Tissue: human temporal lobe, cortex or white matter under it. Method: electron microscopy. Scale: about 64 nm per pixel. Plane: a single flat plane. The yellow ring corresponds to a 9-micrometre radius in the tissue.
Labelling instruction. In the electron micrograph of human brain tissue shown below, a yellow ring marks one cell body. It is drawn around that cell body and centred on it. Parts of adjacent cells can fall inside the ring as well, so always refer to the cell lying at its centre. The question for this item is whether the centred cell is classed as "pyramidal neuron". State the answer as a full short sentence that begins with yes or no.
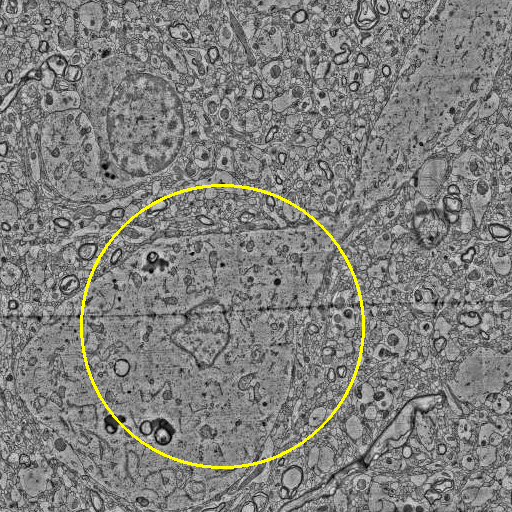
Yes, the centred cell is of that class.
